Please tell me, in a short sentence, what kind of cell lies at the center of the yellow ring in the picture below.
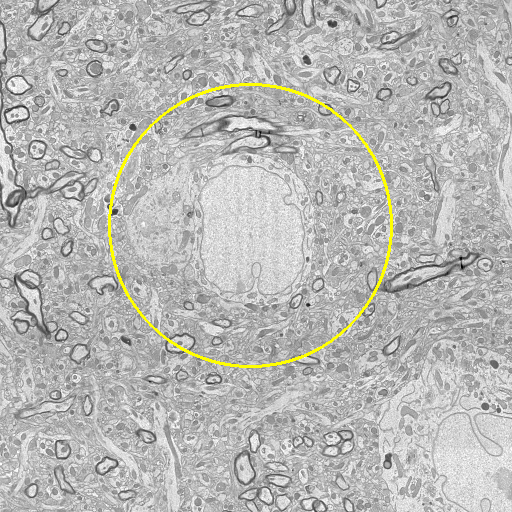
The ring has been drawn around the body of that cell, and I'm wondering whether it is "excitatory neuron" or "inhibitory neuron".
The cell at the center of the ring is an inhibitory neuron.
